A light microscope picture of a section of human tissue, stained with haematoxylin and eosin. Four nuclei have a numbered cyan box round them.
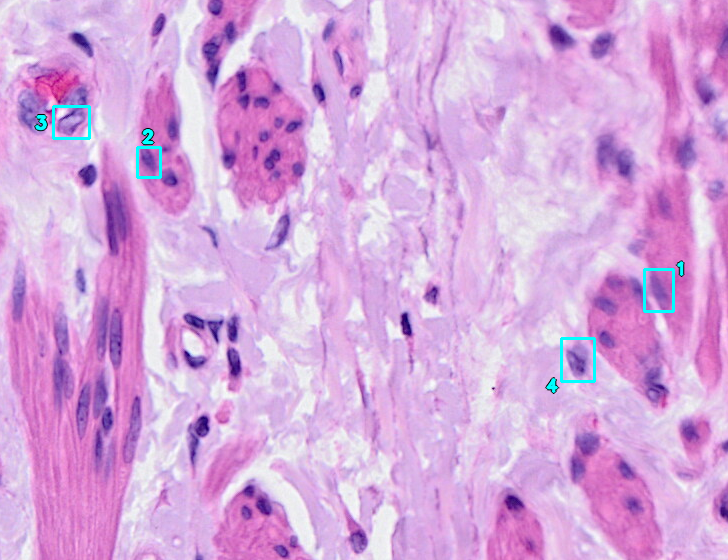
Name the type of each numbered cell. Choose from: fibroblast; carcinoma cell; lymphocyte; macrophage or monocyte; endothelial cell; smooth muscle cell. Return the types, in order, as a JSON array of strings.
["smooth muscle cell", "smooth muscle cell", "endothelial cell", "fibroblast"]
